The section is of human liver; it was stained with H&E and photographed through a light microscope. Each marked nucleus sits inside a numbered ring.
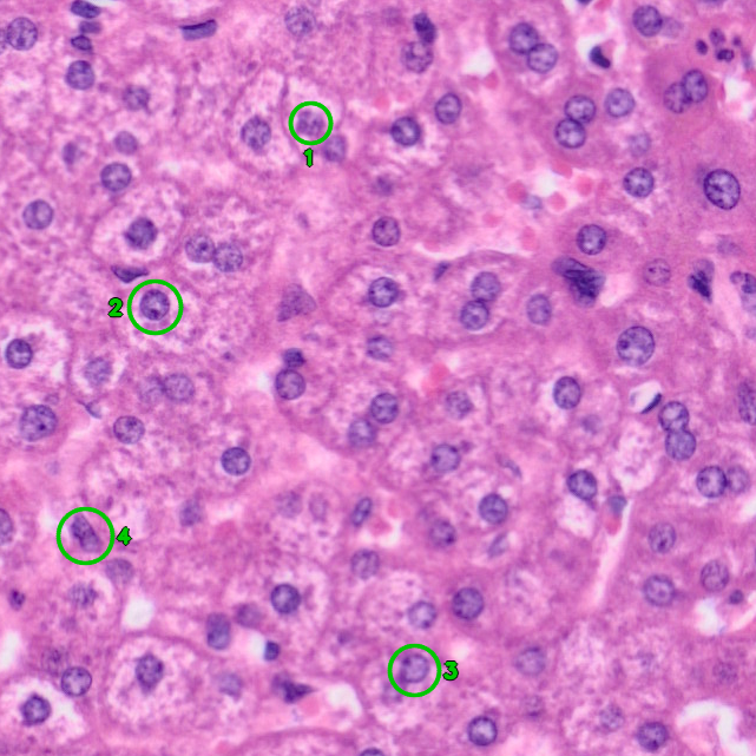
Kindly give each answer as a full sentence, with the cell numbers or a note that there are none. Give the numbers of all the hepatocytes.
The cells numbered 1, 2 and 3 are typed as hepatocytes.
